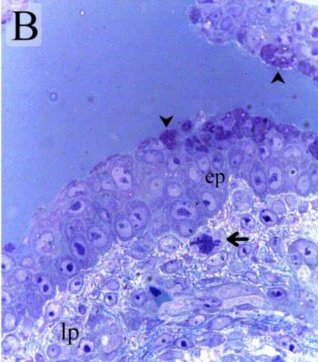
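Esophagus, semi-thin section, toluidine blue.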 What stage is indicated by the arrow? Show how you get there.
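Mitotic divisions. The arrowed cell has clumped, dark condensed chromatin instead of a round nucleus with a nucleolus.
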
